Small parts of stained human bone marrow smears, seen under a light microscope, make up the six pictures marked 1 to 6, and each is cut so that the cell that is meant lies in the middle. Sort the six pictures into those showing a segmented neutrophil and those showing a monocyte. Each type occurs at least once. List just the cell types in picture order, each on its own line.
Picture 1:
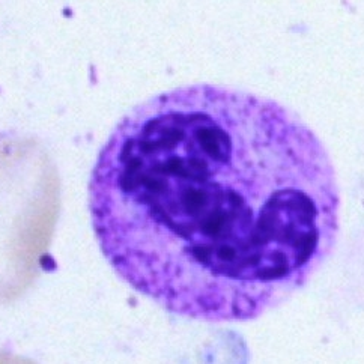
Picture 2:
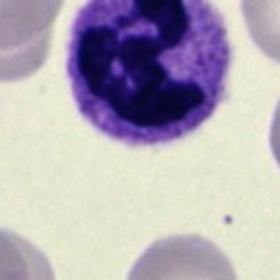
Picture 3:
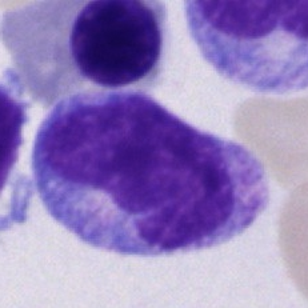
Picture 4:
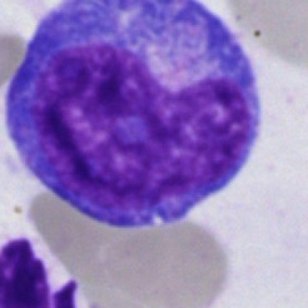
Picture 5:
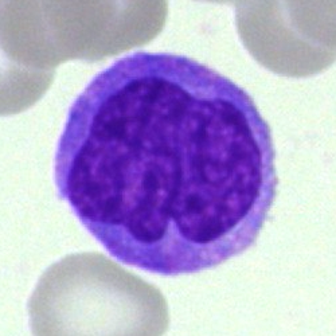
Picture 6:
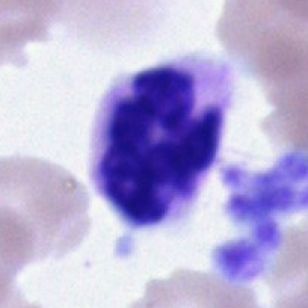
segmented neutrophil
segmented neutrophil
monocyte
monocyte
monocyte
segmented neutrophil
